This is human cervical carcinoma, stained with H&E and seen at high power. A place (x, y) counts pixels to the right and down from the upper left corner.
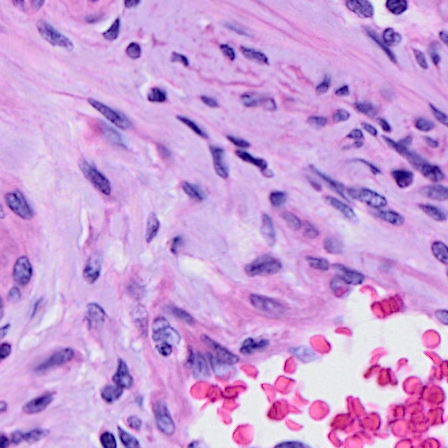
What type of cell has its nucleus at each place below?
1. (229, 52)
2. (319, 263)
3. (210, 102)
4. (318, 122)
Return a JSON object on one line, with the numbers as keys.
{"1": "smooth muscle cell", "2": "endothelial cell", "3": "smooth muscle cell", "4": "smooth muscle cell"}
